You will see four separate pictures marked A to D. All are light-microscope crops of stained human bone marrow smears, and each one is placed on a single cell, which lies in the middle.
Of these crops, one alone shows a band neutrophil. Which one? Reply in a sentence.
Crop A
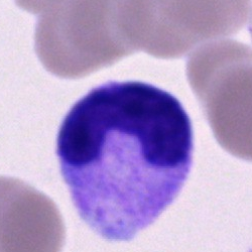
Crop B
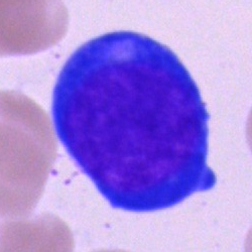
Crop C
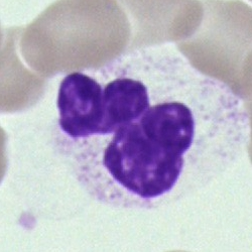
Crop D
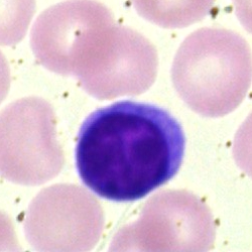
Of these crops, it is crop A that shows a band neutrophil.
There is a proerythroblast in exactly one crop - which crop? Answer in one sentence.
The one crop in the set with a proerythroblast is crop B.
